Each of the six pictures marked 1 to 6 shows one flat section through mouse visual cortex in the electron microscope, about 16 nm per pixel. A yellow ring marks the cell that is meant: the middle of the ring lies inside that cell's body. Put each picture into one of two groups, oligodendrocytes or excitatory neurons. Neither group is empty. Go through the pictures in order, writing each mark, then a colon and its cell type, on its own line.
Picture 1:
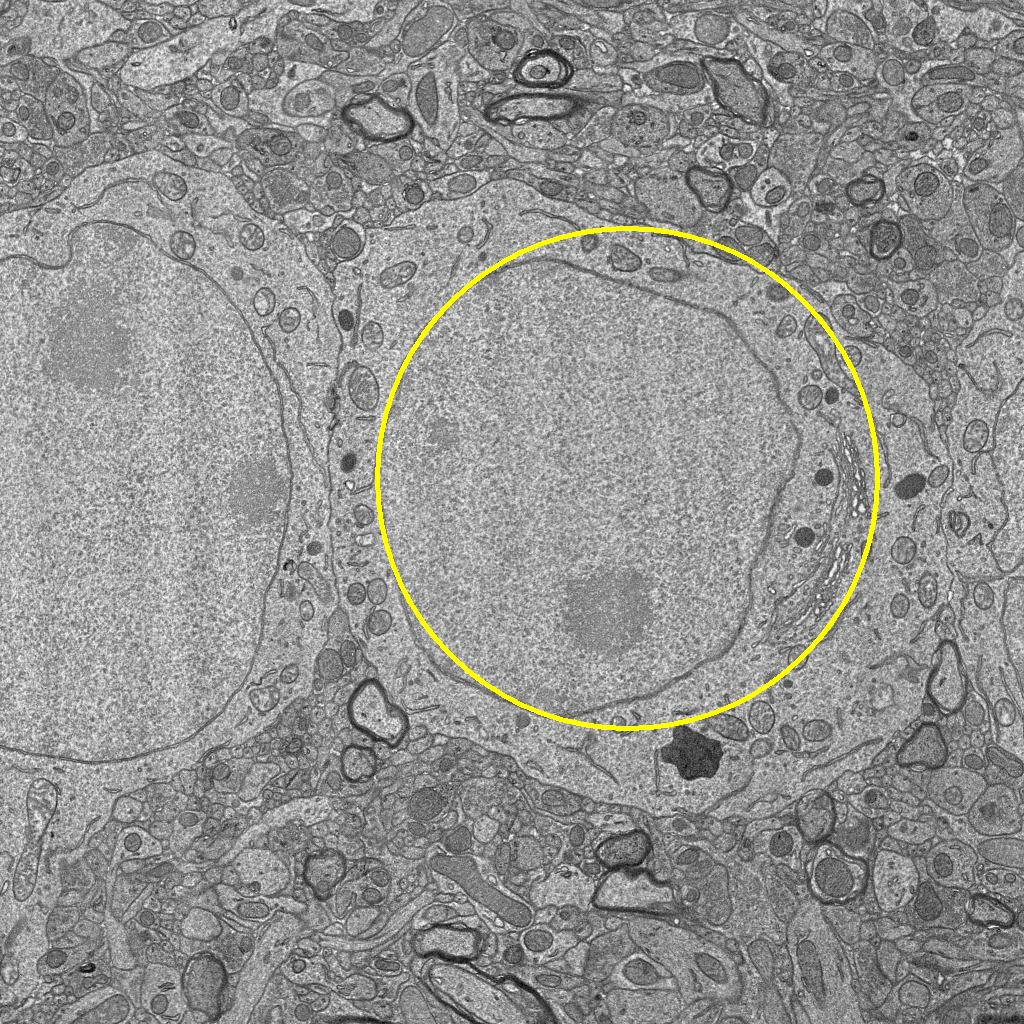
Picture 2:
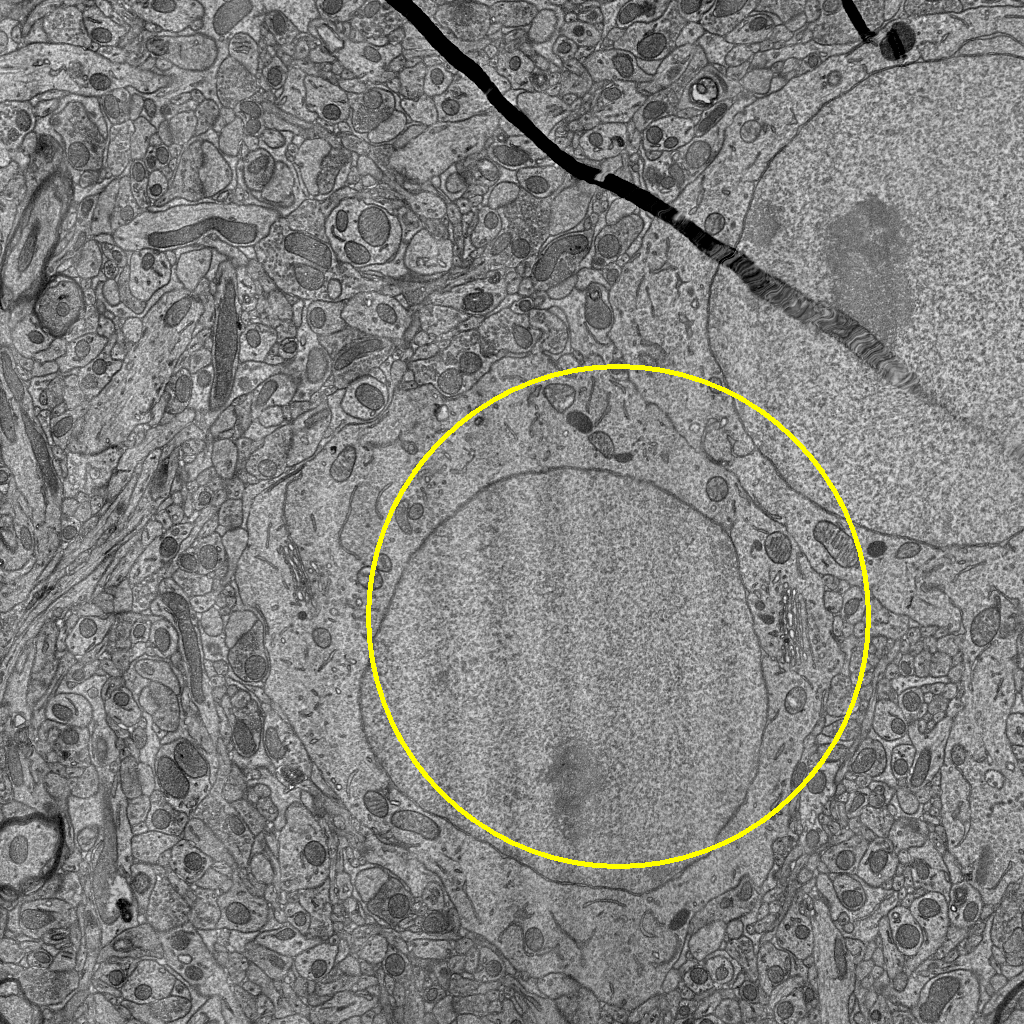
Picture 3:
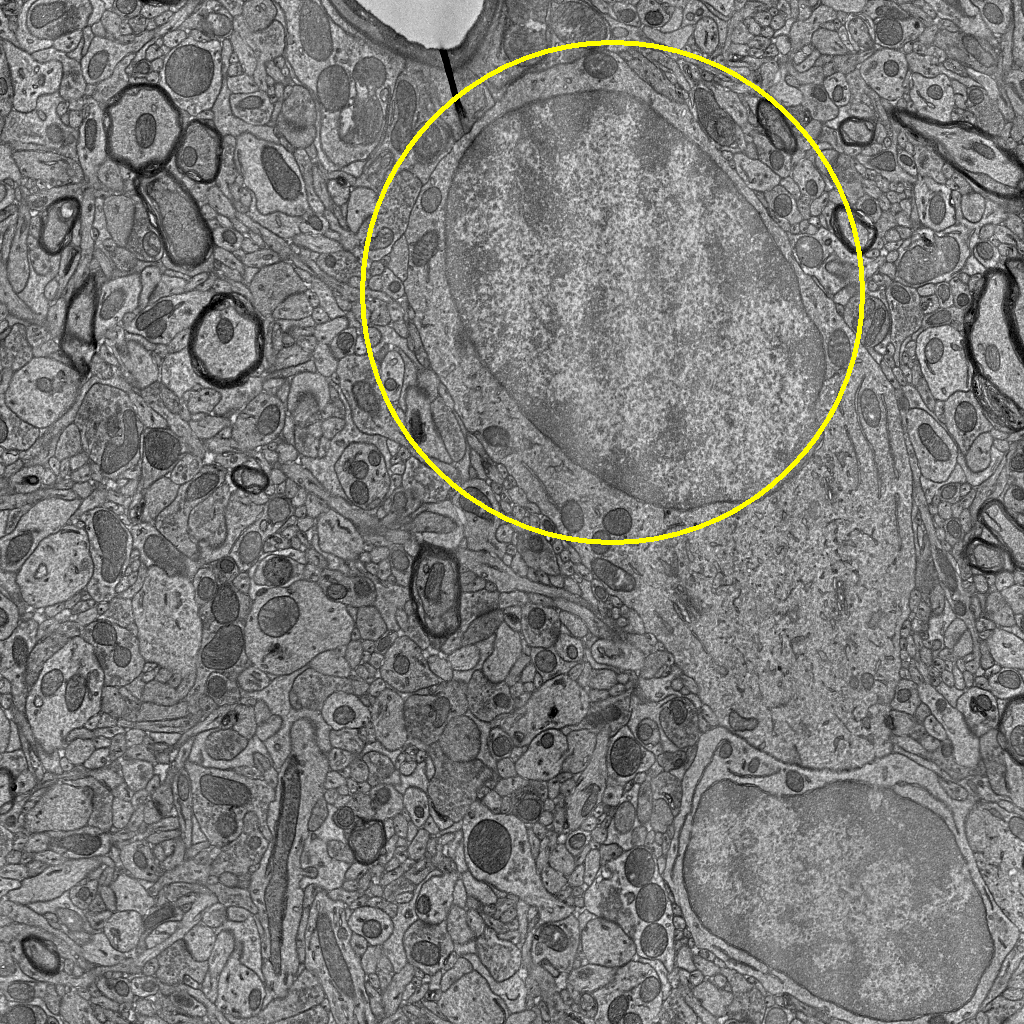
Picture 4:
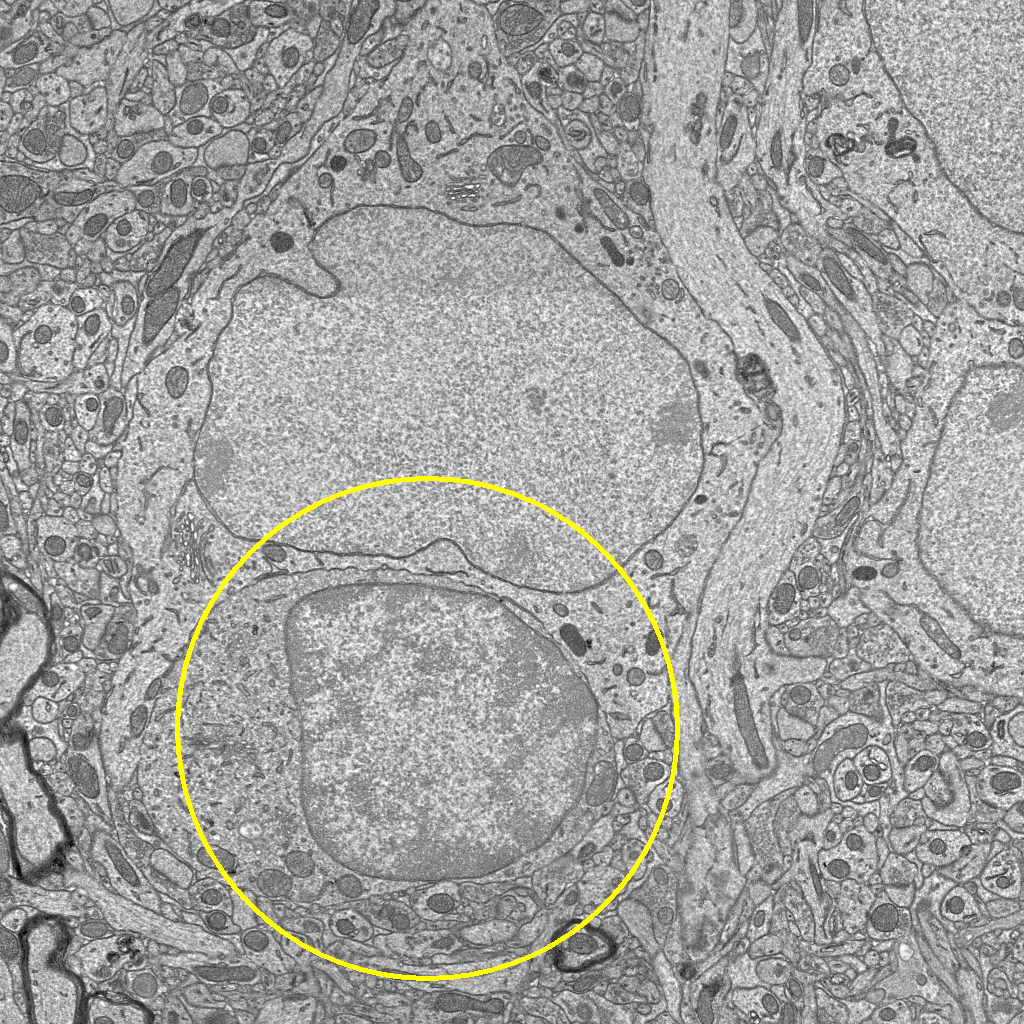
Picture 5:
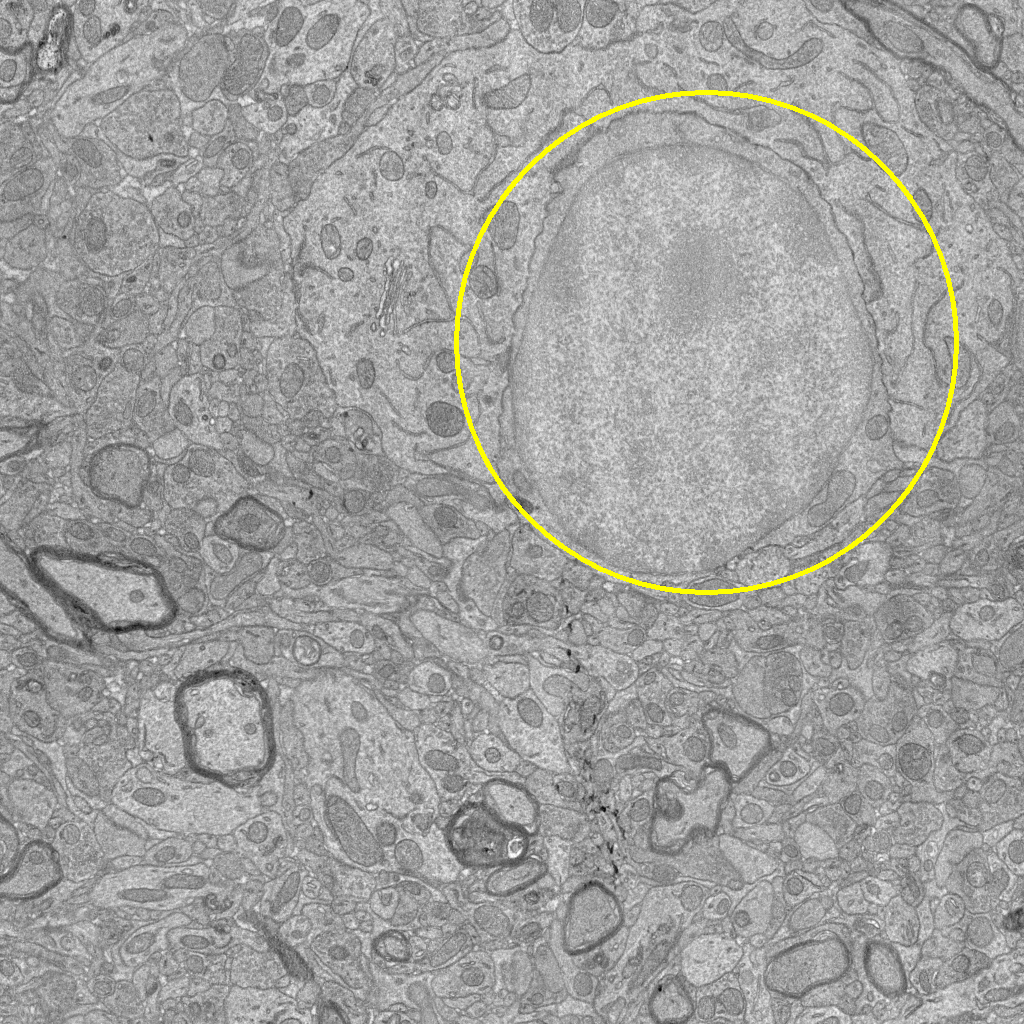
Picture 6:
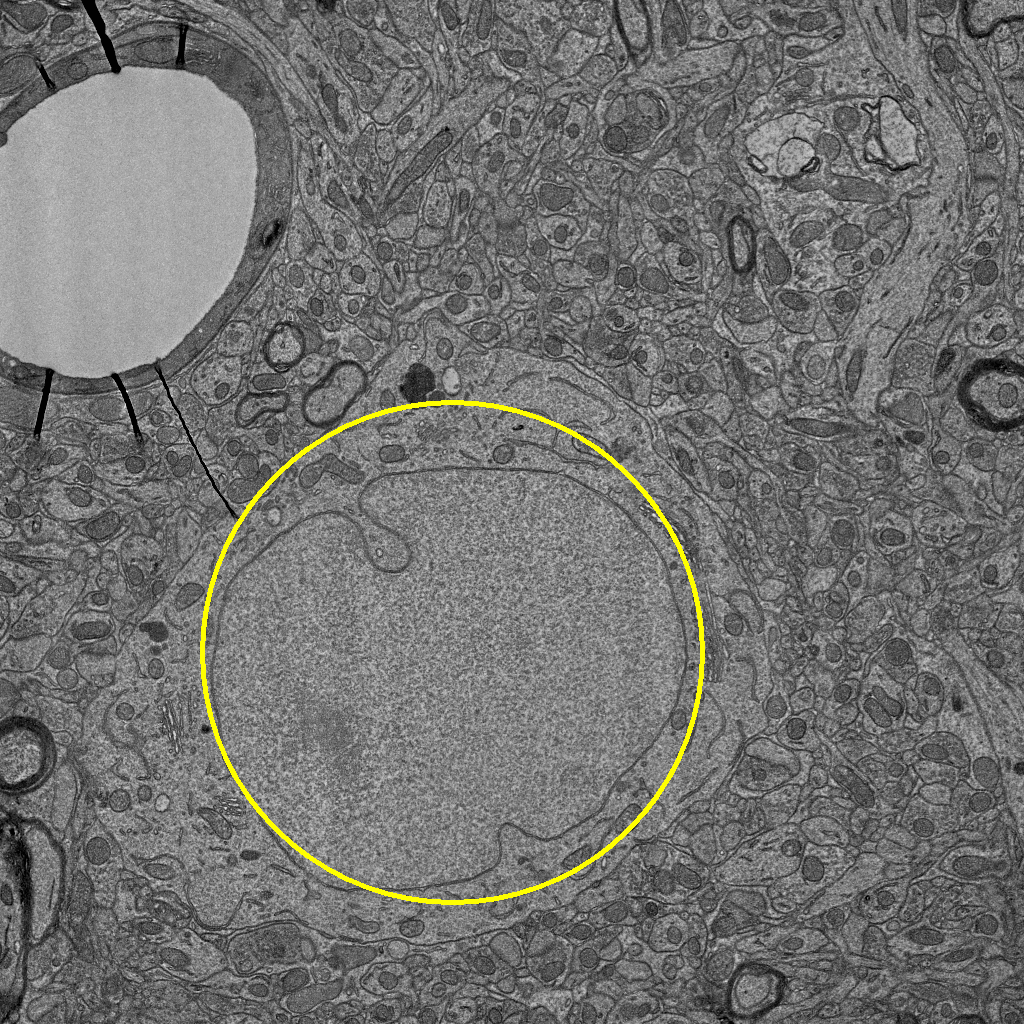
1: excitatory neuron
2: excitatory neuron
3: oligodendrocyte
4: oligodendrocyte
5: oligodendrocyte
6: excitatory neuron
